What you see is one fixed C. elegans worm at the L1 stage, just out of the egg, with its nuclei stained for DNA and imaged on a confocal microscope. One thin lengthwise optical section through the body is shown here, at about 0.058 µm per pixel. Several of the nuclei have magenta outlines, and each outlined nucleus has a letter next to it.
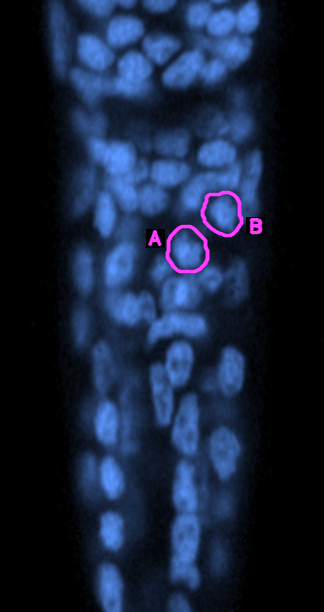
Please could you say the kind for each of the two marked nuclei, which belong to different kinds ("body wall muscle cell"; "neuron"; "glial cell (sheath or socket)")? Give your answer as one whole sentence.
A is the nucleus of a neuron; B is the nucleus of a glial cell (sheath or socket).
